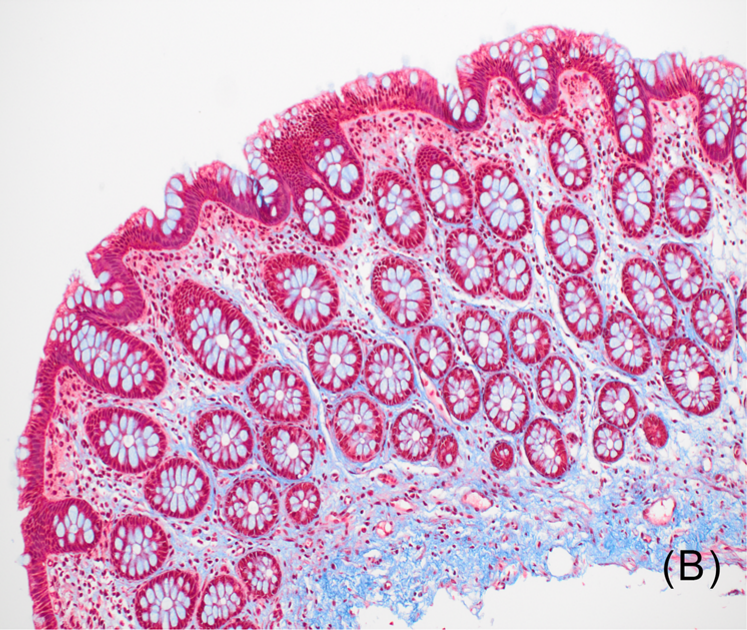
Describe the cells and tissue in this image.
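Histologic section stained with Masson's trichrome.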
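This is colonic mucosa in which round, evenly spaced crypts are cut in cross-section and lined by red-staining columnar epithelium with many pale goblet cells. The crypts are regular and unbranched, and an intact epithelium covers the undulating surface. Between the crypts, the lamina propria holds blue-staining collagen fibres mixed with scattered cells. The blue collagen is densest in the lower part of the mucosa, toward the base of the section.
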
